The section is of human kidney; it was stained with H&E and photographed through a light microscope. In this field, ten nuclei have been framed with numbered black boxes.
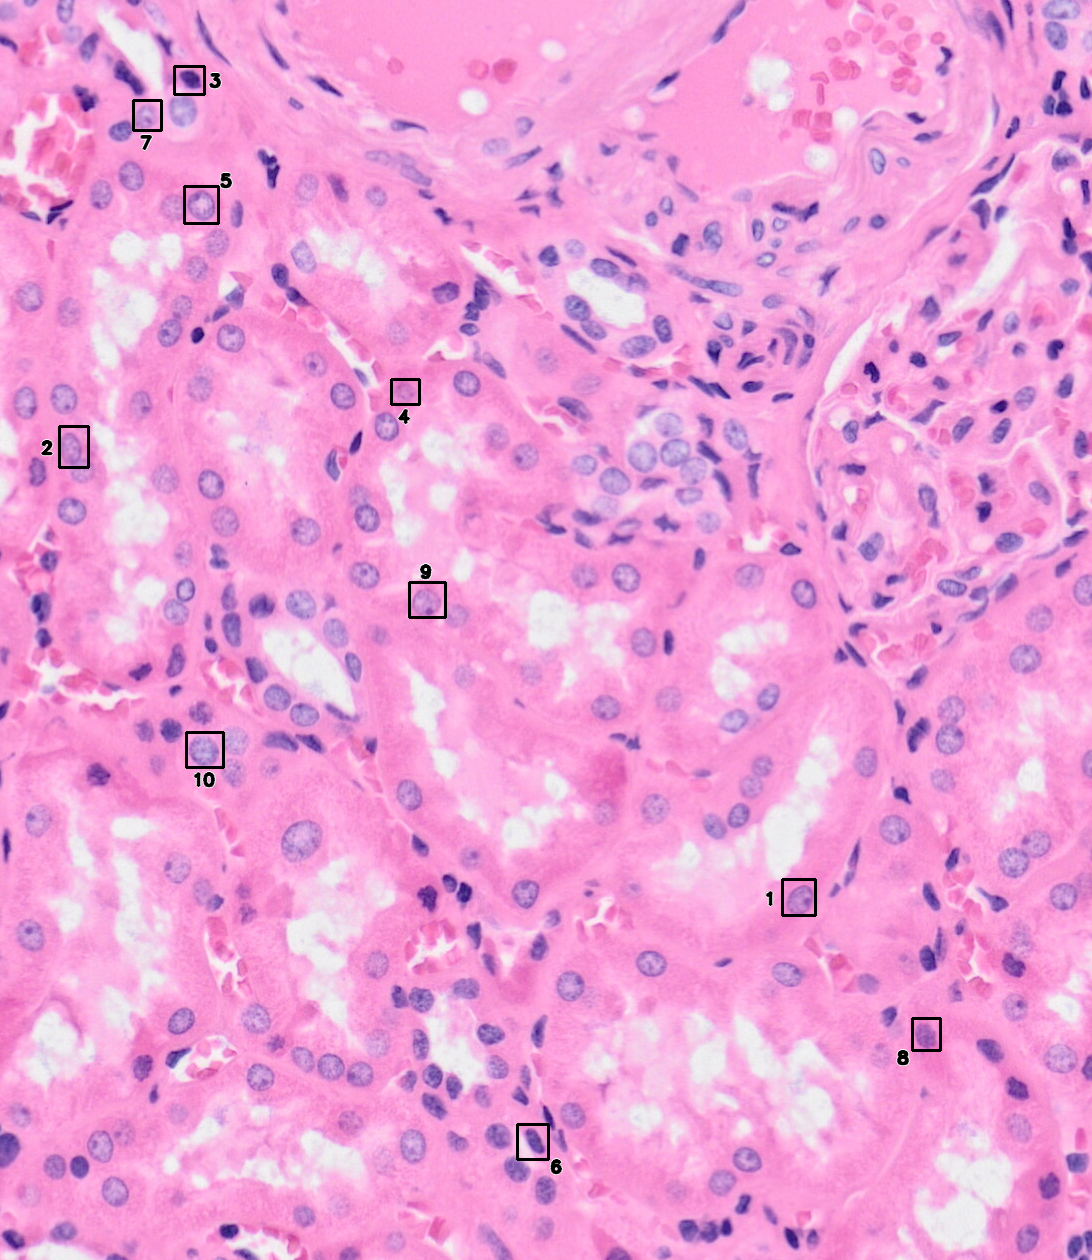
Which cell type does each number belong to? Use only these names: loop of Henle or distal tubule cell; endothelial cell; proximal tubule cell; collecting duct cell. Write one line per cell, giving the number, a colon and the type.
1: proximal tubule cell
2: proximal tubule cell
3: collecting duct cell
4: proximal tubule cell
5: proximal tubule cell
6: loop of Henle or distal tubule cell
7: collecting duct cell
8: proximal tubule cell
9: proximal tubule cell
10: loop of Henle or distal tubule cell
